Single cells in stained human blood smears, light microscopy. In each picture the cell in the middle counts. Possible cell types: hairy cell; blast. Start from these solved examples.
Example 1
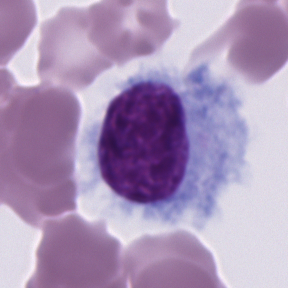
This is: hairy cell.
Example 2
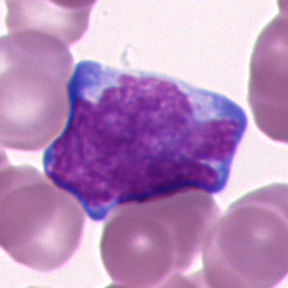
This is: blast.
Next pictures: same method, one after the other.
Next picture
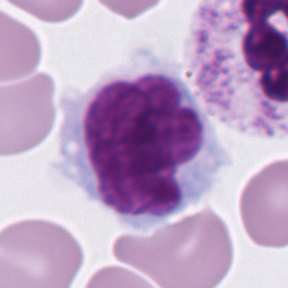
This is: hairy cell.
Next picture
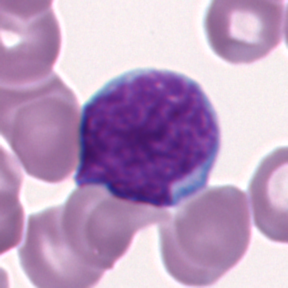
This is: blast.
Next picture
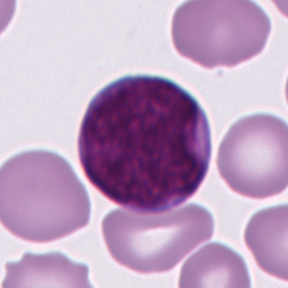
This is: blast.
